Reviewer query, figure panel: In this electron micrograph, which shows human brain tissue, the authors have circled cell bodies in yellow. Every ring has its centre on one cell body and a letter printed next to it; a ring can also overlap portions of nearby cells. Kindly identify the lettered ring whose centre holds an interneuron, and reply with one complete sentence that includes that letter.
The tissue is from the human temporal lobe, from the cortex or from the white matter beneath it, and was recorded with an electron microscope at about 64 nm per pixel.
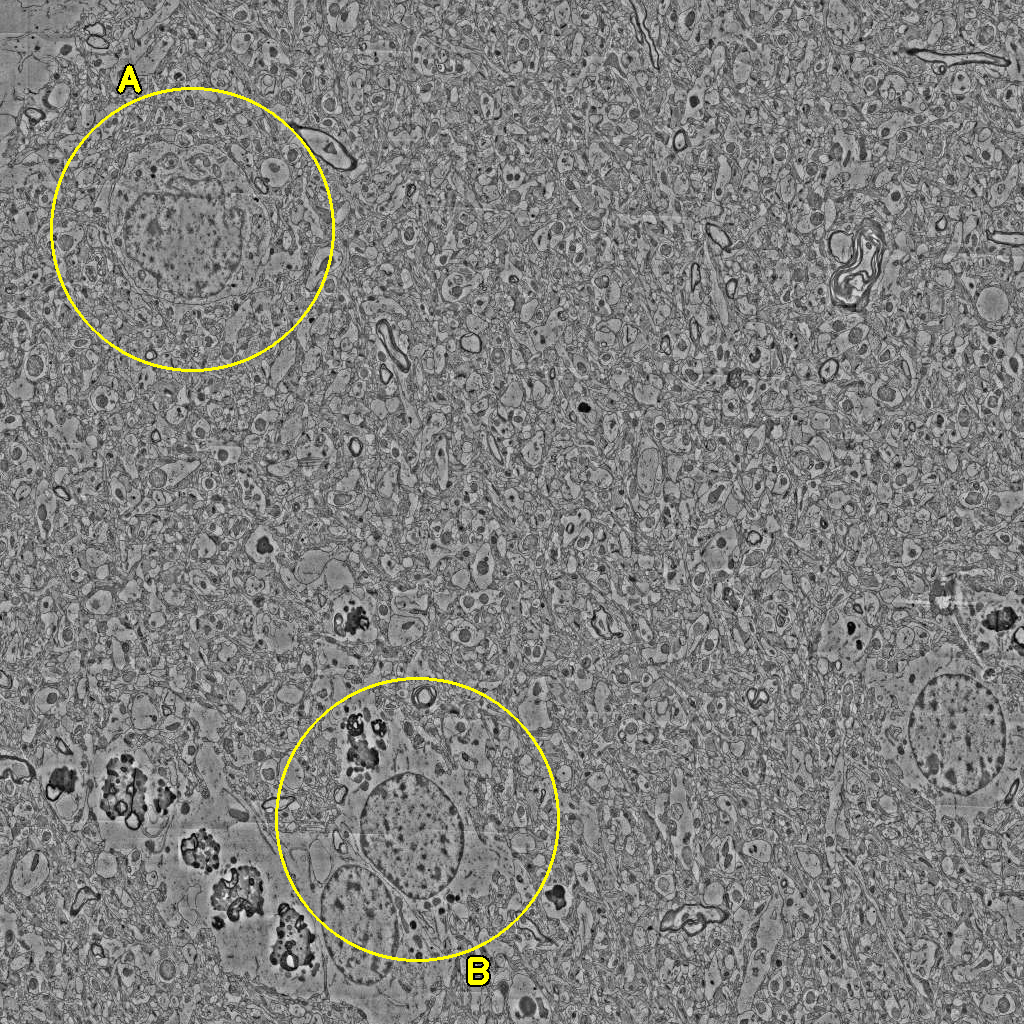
In this figure panel, the ring labelled A has the cell asked for at its centre.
